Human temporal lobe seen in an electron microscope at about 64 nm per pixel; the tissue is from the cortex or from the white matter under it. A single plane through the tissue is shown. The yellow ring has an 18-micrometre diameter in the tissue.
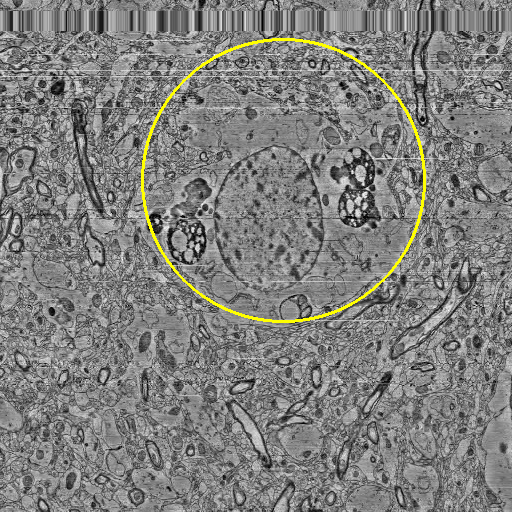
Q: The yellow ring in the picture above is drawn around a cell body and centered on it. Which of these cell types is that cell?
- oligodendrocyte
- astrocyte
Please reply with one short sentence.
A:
The cell body at the ring's center belongs to an astrocyte.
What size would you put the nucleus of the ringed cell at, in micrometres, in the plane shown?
The ringed cell's nucleus is about 10 micrometres long and 7 micrometres wide in this plane.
